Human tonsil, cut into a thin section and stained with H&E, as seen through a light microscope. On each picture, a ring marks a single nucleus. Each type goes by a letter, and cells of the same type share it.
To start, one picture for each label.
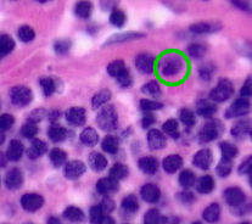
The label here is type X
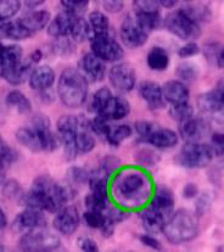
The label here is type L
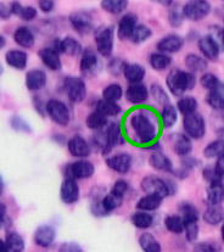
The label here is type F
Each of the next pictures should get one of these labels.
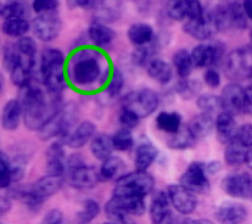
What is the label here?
type L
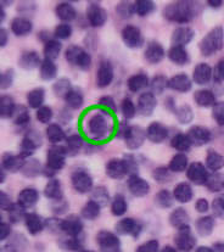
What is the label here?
type F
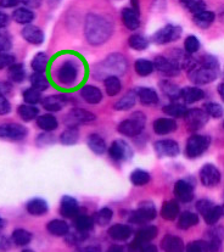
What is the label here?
type X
